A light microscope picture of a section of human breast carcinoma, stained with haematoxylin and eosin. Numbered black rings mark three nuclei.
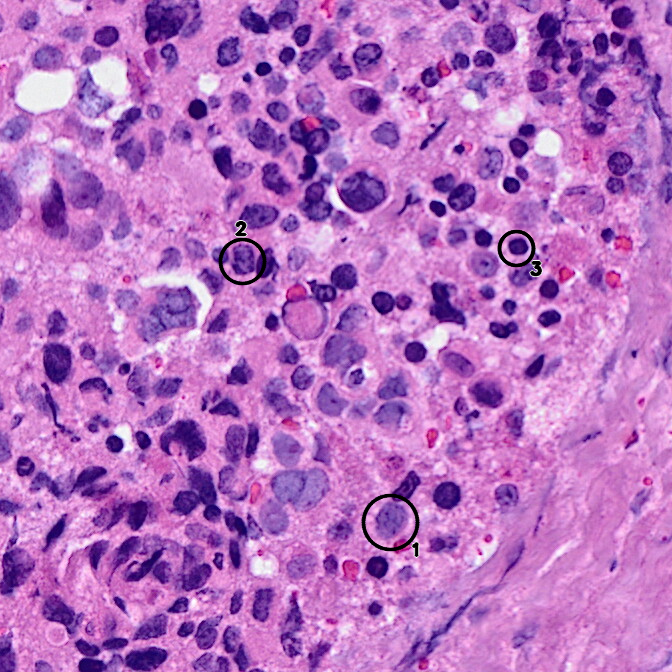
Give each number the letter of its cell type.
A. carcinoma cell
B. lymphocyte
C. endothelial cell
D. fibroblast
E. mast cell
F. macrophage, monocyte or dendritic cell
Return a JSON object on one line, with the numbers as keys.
{"1": "A", "2": "A", "3": "B"}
